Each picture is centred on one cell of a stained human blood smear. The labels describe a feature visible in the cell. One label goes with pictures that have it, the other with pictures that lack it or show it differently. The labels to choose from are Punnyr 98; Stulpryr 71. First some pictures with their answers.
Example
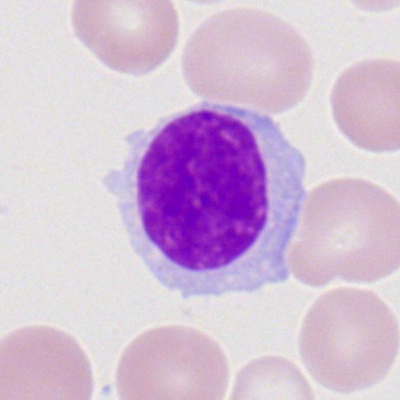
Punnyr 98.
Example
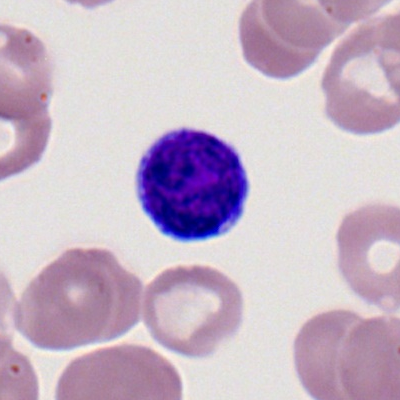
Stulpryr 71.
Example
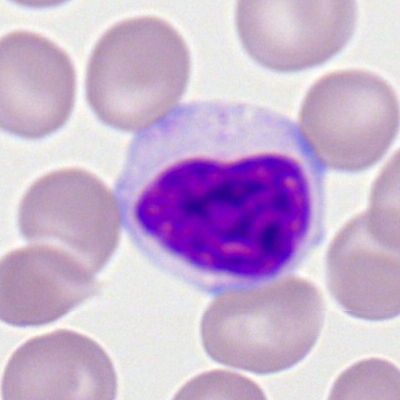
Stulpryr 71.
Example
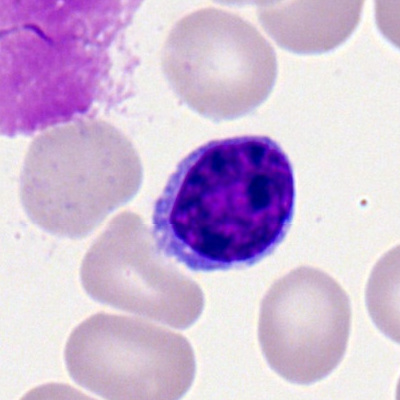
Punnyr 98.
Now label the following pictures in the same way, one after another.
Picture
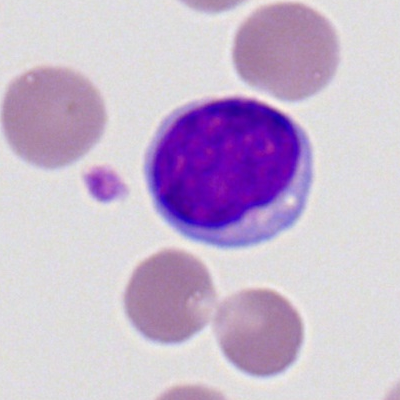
Stulpryr 71.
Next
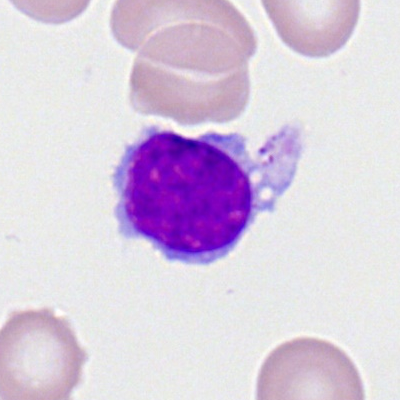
Punnyr 98.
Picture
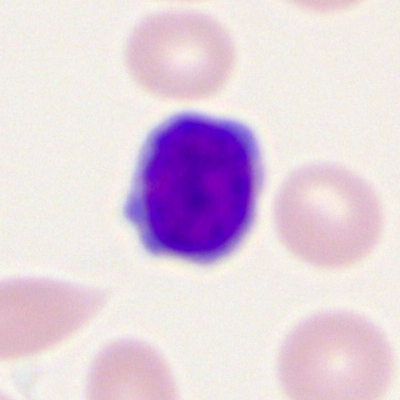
Punnyr 98.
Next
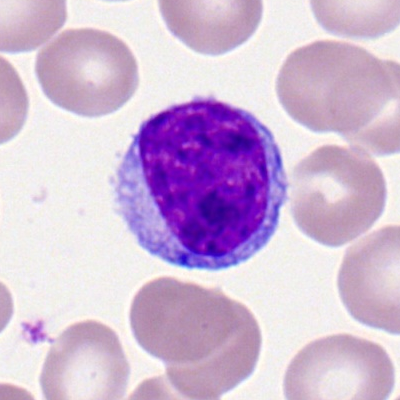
Punnyr 98.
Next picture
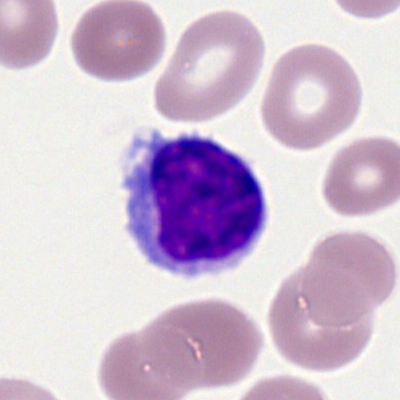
Punnyr 98.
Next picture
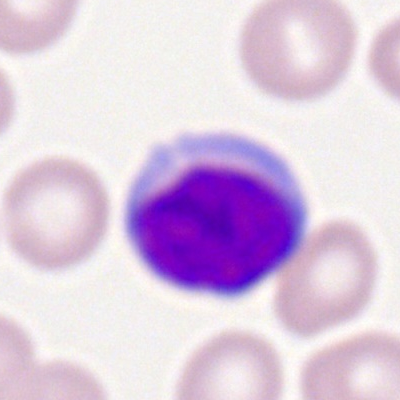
Stulpryr 71.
